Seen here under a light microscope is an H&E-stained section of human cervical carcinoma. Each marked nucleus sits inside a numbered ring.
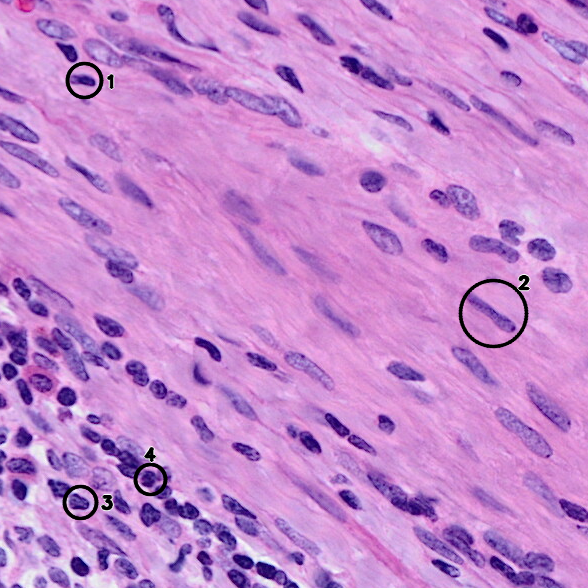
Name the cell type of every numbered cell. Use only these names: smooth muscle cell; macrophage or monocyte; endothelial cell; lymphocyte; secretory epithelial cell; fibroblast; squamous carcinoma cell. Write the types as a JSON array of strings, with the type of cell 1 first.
["lymphocyte", "fibroblast", "lymphocyte", "lymphocyte"]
